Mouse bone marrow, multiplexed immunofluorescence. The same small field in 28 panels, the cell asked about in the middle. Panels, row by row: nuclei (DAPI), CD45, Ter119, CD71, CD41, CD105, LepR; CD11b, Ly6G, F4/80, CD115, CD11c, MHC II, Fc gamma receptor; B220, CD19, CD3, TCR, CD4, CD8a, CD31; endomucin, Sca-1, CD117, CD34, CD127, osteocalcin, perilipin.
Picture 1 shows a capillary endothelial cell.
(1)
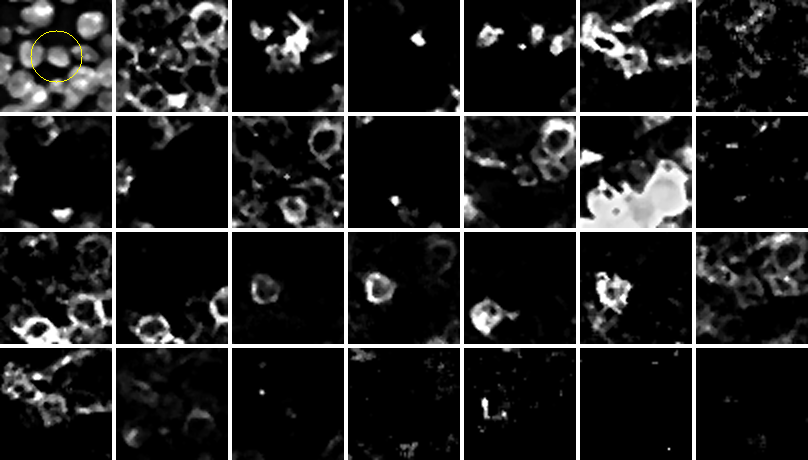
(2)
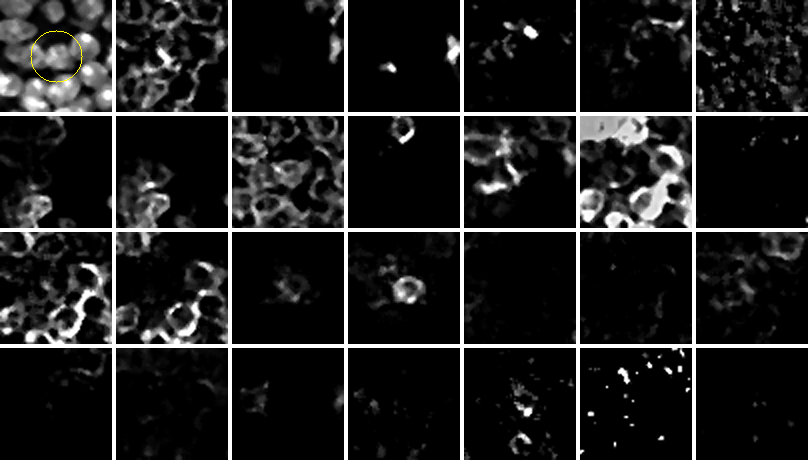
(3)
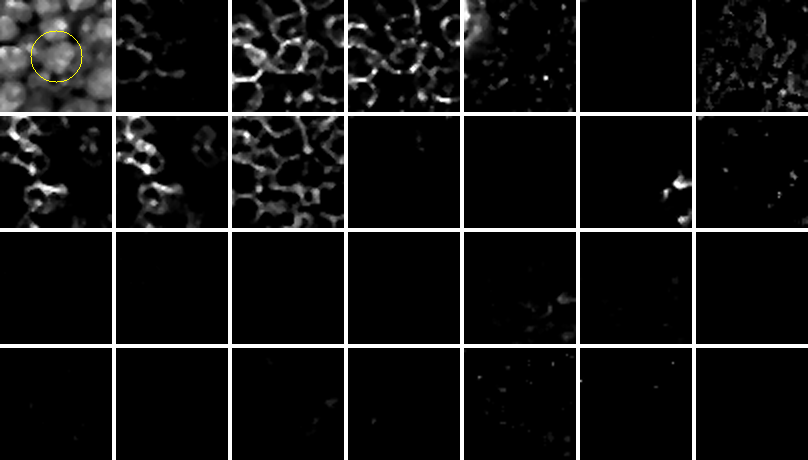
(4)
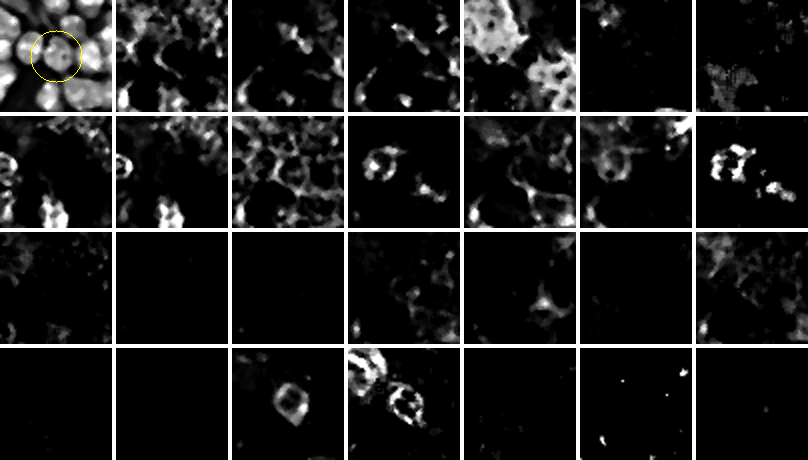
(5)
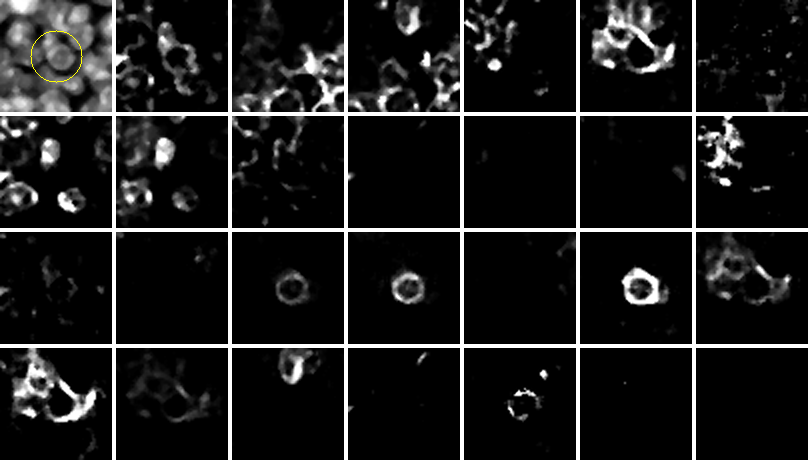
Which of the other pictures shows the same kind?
Picture 5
